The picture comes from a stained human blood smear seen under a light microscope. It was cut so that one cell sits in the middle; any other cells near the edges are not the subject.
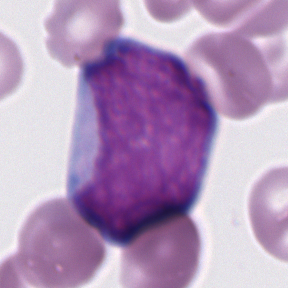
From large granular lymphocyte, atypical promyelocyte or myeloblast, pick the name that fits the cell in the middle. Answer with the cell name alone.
myeloblast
